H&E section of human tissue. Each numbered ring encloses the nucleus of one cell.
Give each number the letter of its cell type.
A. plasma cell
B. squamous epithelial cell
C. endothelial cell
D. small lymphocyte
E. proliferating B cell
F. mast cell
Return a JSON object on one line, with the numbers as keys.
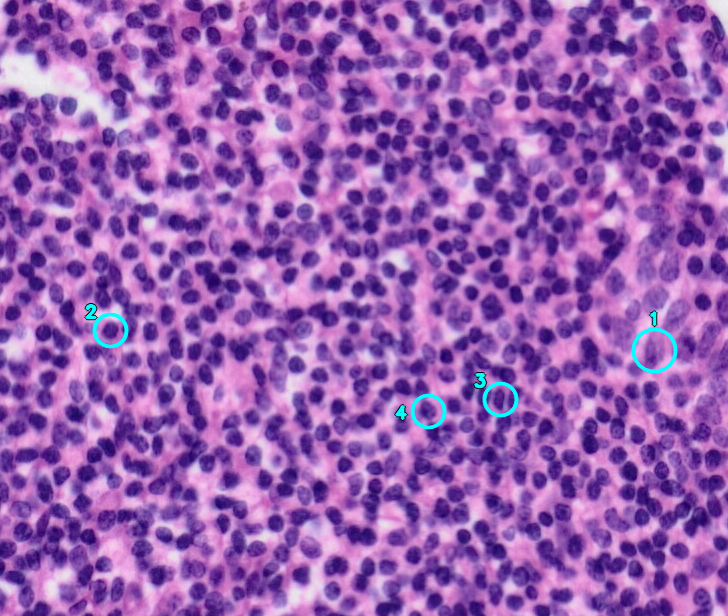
{"1": "E", "2": "D", "3": "D", "4": "D"}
